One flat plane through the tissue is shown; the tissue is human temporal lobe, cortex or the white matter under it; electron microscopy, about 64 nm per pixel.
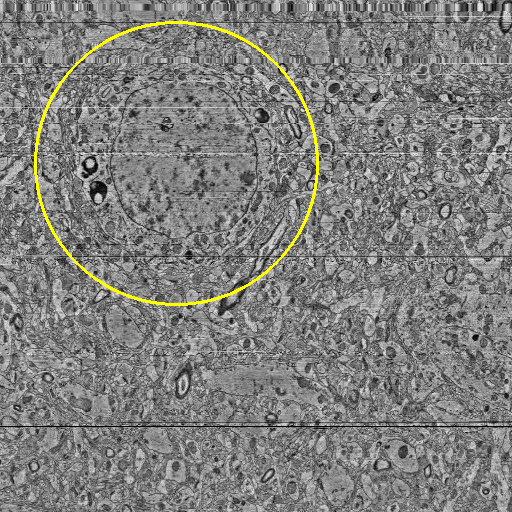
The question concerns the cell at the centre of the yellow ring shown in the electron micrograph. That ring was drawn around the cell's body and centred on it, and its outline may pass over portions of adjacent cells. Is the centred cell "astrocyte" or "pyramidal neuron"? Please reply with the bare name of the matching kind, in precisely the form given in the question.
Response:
pyramidal neuron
